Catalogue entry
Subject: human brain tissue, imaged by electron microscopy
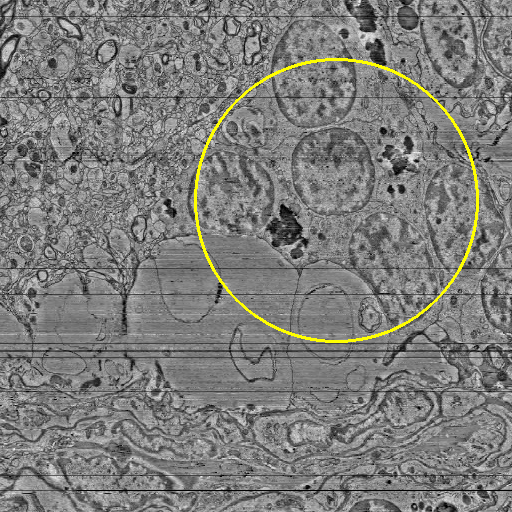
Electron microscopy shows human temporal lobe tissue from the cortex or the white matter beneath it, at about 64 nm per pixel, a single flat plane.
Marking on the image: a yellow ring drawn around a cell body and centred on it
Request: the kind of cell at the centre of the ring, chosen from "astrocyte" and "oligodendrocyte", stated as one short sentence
The ring has an oligodendrocyte at its centre.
